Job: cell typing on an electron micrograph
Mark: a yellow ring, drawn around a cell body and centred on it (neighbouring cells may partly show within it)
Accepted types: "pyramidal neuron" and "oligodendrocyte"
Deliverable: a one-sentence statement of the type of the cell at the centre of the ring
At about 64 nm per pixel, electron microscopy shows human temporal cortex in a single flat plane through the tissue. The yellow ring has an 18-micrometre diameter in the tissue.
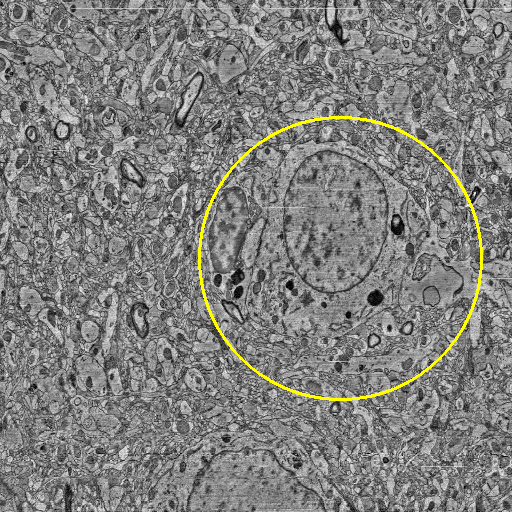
The centred cell body is that of a pyramidal neuron.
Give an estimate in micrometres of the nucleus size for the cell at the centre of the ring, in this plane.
In this plane the nucleus spans approximately 9 by 7 micrometers.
